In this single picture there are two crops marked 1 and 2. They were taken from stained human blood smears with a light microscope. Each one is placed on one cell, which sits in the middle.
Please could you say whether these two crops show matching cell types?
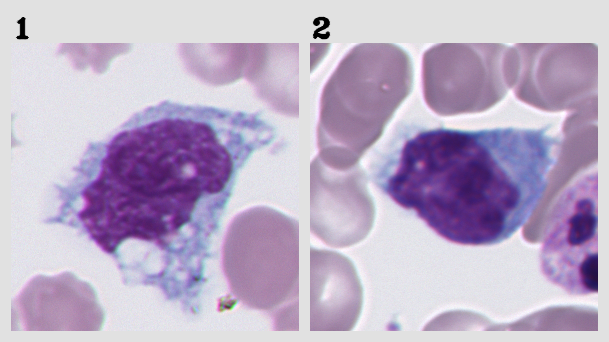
yes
